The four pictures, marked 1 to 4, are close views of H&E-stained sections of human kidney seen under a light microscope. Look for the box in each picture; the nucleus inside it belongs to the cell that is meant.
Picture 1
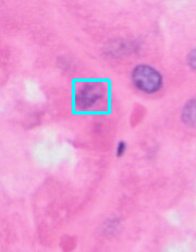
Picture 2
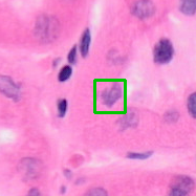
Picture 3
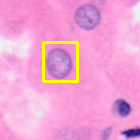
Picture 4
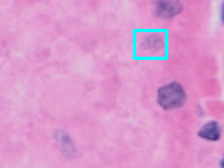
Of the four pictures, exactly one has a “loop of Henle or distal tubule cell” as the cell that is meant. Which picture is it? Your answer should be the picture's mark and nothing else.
2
